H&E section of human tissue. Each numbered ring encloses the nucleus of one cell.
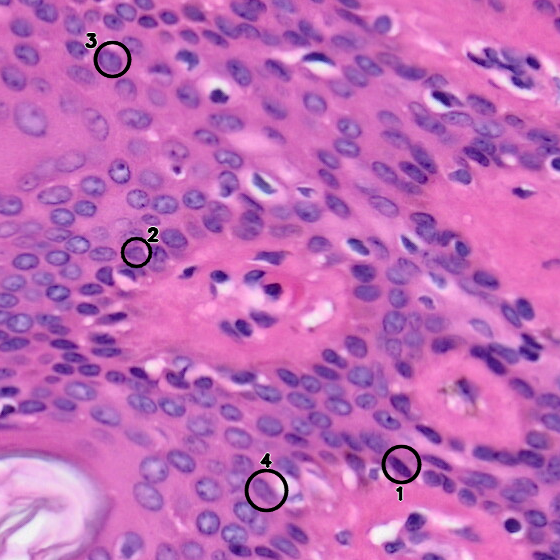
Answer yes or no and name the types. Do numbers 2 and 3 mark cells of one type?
No, cell 2 is a basal keratinocyte and cell 3 is a suprabasal keratinocyte.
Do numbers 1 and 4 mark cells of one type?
Yes, both are basal keratinocytes.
